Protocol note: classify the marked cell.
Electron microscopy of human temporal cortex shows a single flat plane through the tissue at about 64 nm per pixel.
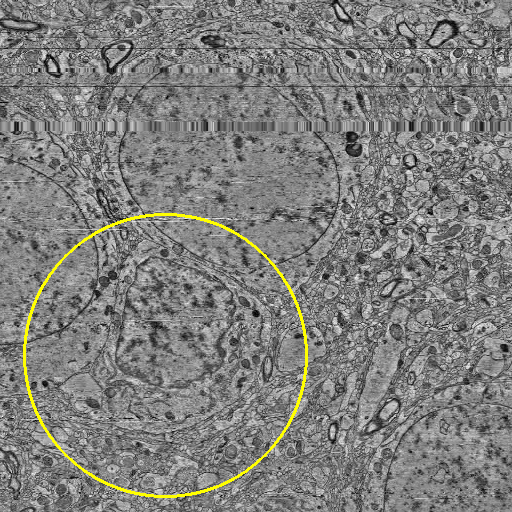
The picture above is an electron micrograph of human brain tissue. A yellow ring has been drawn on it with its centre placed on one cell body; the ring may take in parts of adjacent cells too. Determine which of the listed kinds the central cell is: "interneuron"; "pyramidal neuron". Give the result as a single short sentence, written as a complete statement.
The central cell is an interneuron.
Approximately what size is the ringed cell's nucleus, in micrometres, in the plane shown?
The nucleus measures about 8 micrometers across in this plane.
